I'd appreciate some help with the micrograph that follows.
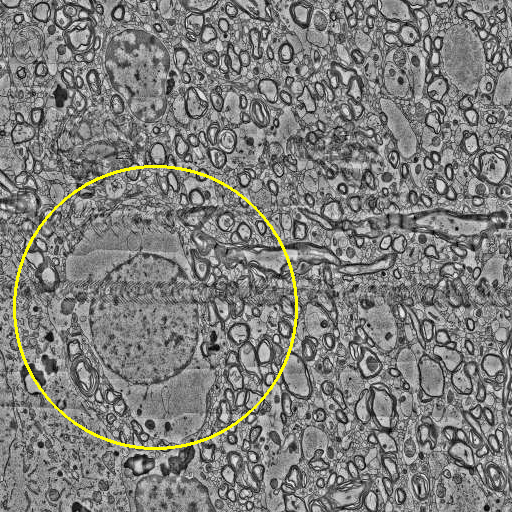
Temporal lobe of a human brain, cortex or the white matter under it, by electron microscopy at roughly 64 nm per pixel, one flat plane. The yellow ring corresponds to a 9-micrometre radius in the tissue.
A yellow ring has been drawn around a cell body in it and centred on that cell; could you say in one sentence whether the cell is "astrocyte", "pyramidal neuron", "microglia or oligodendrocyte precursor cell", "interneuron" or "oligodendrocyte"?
It is an astrocyte at the centre of the ring.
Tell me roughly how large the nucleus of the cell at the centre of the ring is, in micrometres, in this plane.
In this plane the nucleus is about 8 micrometres by 7.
